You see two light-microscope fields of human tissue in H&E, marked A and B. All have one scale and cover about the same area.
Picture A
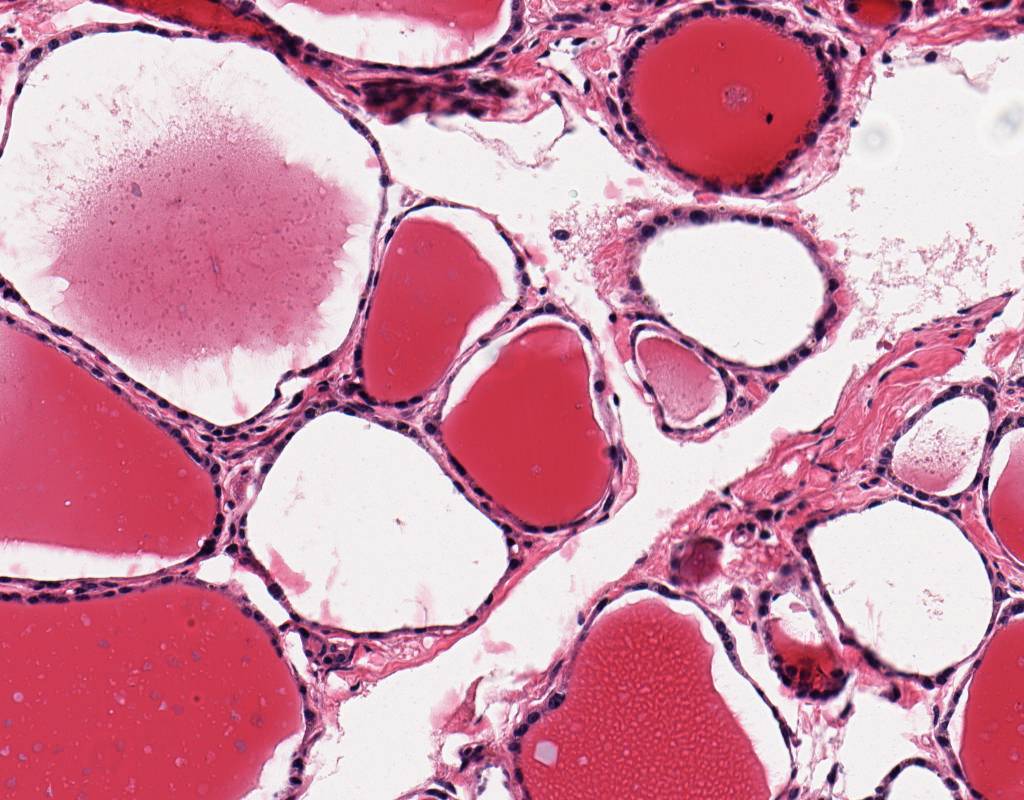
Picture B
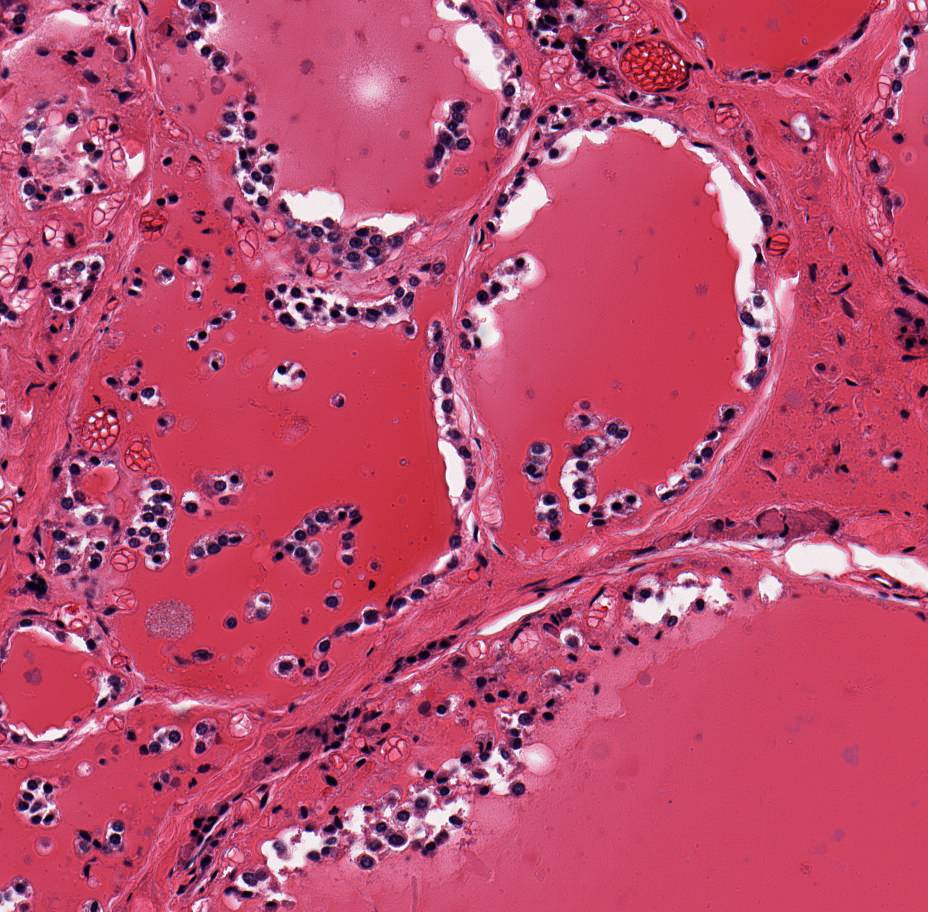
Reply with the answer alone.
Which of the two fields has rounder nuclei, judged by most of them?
B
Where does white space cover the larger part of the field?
A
